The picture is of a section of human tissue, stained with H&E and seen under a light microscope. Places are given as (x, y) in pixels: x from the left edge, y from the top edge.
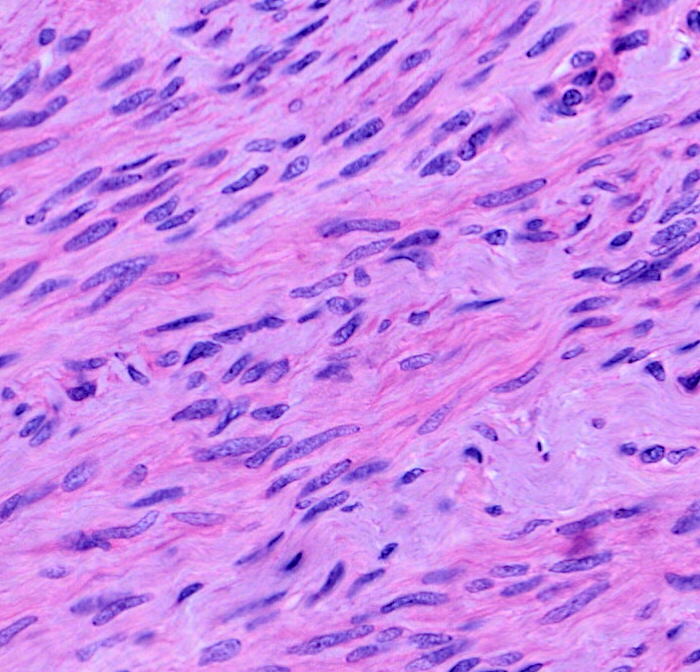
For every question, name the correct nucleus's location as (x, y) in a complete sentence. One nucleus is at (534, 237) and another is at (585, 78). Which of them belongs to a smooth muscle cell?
The nucleus located at (534, 237) is the one held within a smooth muscle cell.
